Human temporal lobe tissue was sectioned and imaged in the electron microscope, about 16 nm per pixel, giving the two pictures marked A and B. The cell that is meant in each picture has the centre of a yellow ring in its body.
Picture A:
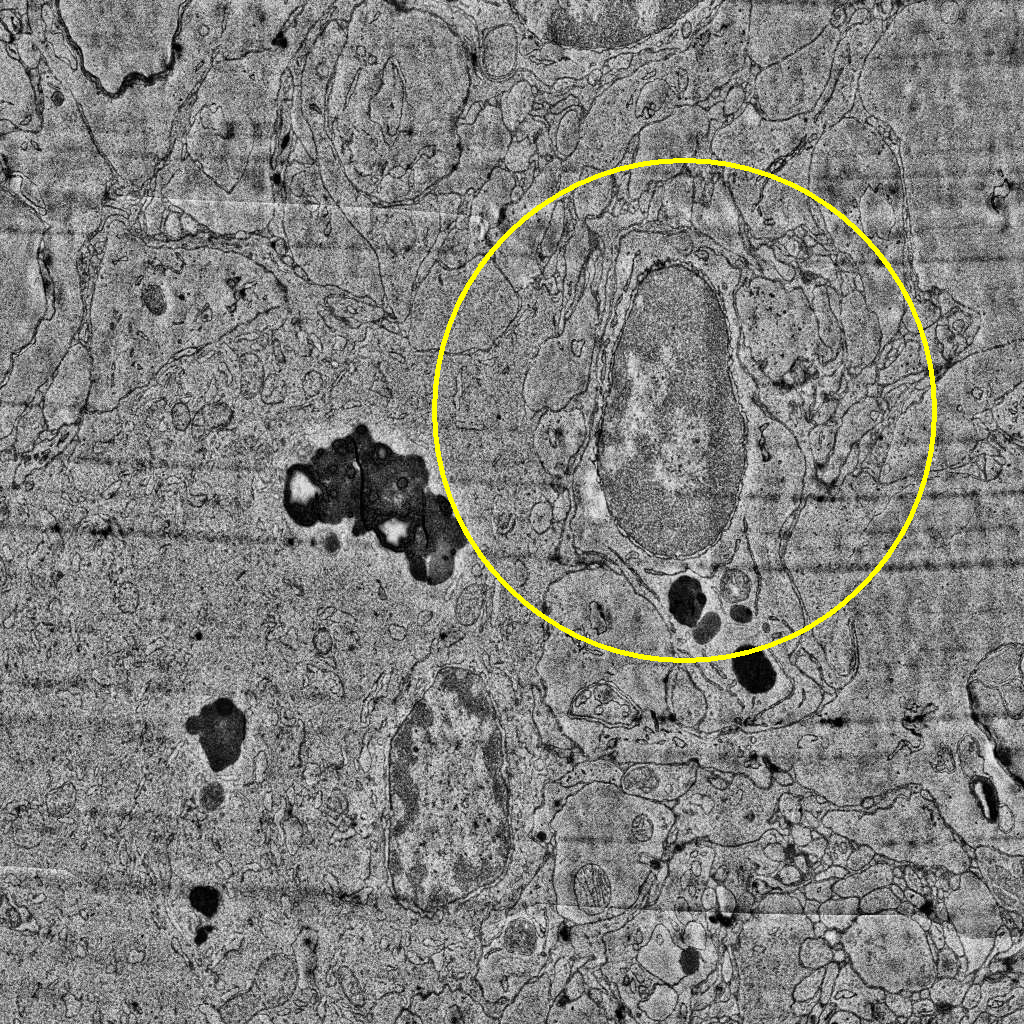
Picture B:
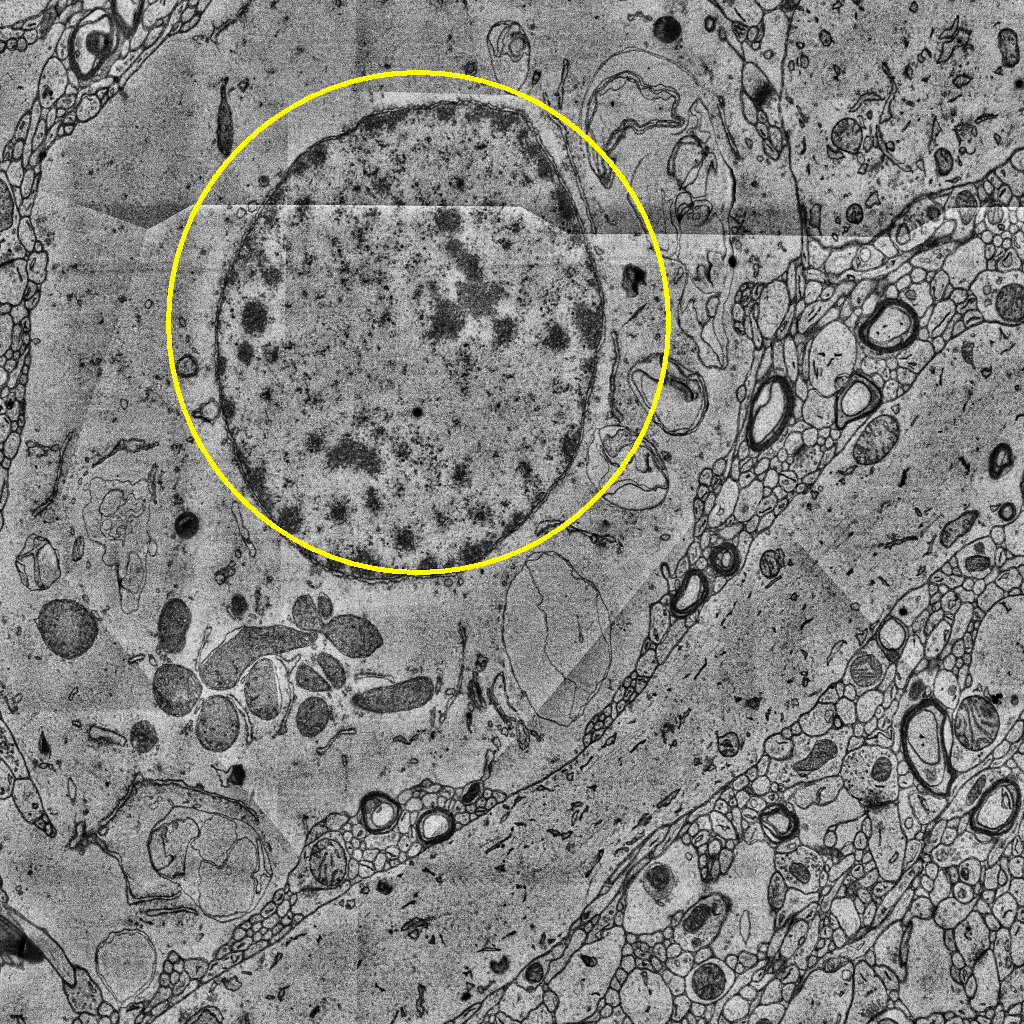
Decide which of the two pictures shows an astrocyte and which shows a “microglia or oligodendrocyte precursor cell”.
Picture A is of a “microglia or oligodendrocyte precursor cell”, and picture B is of an astrocyte.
